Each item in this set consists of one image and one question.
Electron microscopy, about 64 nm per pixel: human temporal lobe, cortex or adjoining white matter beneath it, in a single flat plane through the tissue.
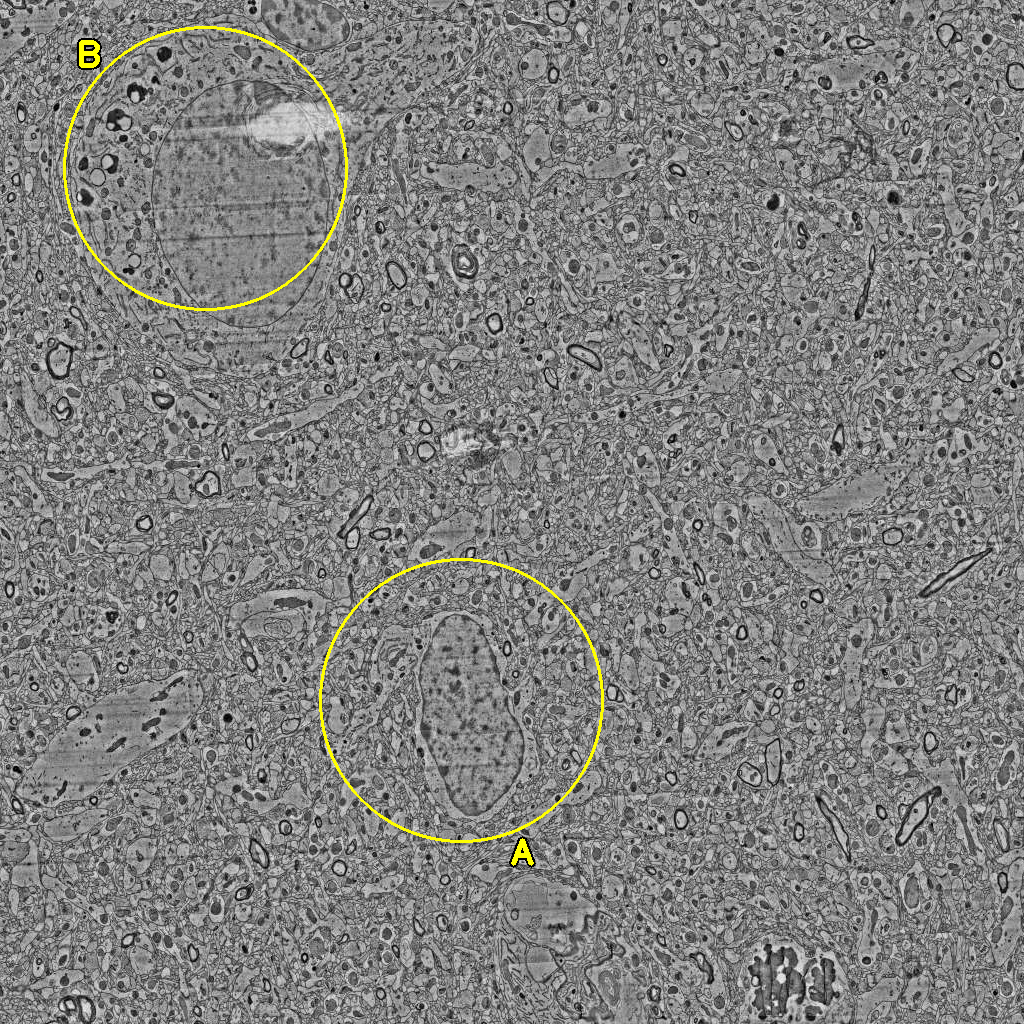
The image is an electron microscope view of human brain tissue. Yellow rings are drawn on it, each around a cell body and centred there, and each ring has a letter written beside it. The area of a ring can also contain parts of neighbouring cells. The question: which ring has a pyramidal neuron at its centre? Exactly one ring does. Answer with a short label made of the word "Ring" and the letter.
Ring B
